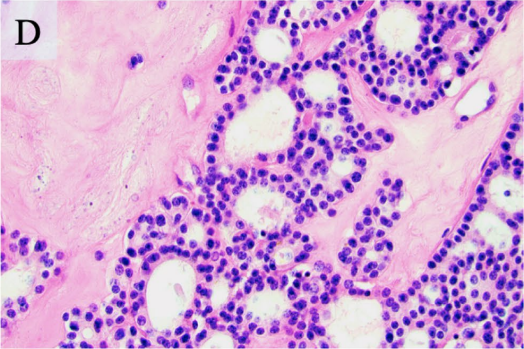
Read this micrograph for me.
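This high-power view shows tumor cells arranged around many small round clear spaces, a micro-cystic growth pattern, beside pale pink amorphous fibrous material. The tumor cells are of rather uniform, monotonous appearance, with round dark purple nuclei. Their cytoplasm is pale pink. The cells line the cystic spaces in one or a few layers and also form small solid groups. At the upper left a broad pink, largely acellular fibrous area borders the tumor cells.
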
